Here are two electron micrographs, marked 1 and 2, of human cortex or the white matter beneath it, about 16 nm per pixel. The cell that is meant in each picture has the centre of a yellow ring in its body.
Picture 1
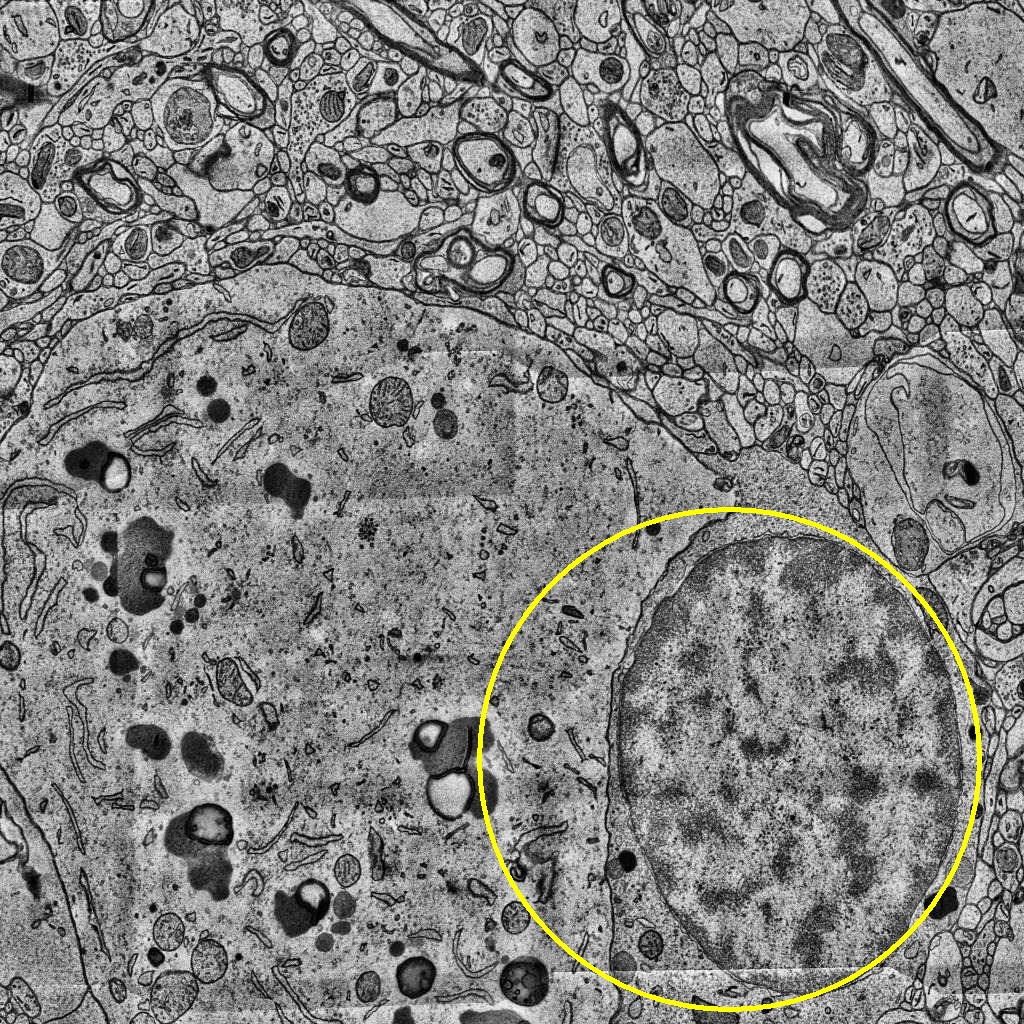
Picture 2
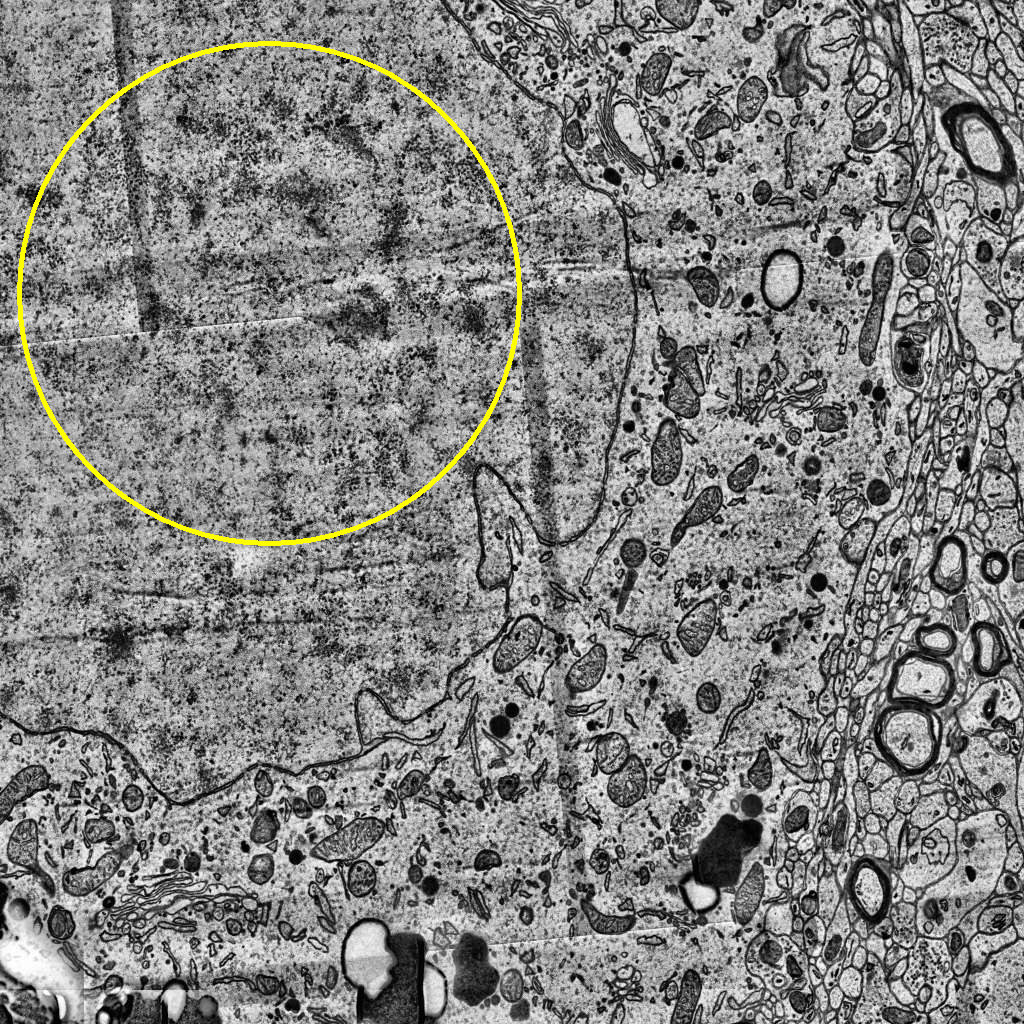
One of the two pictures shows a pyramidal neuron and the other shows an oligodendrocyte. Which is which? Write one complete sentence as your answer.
Picture 1 shows an oligodendrocyte and picture 2 shows a pyramidal neuron.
